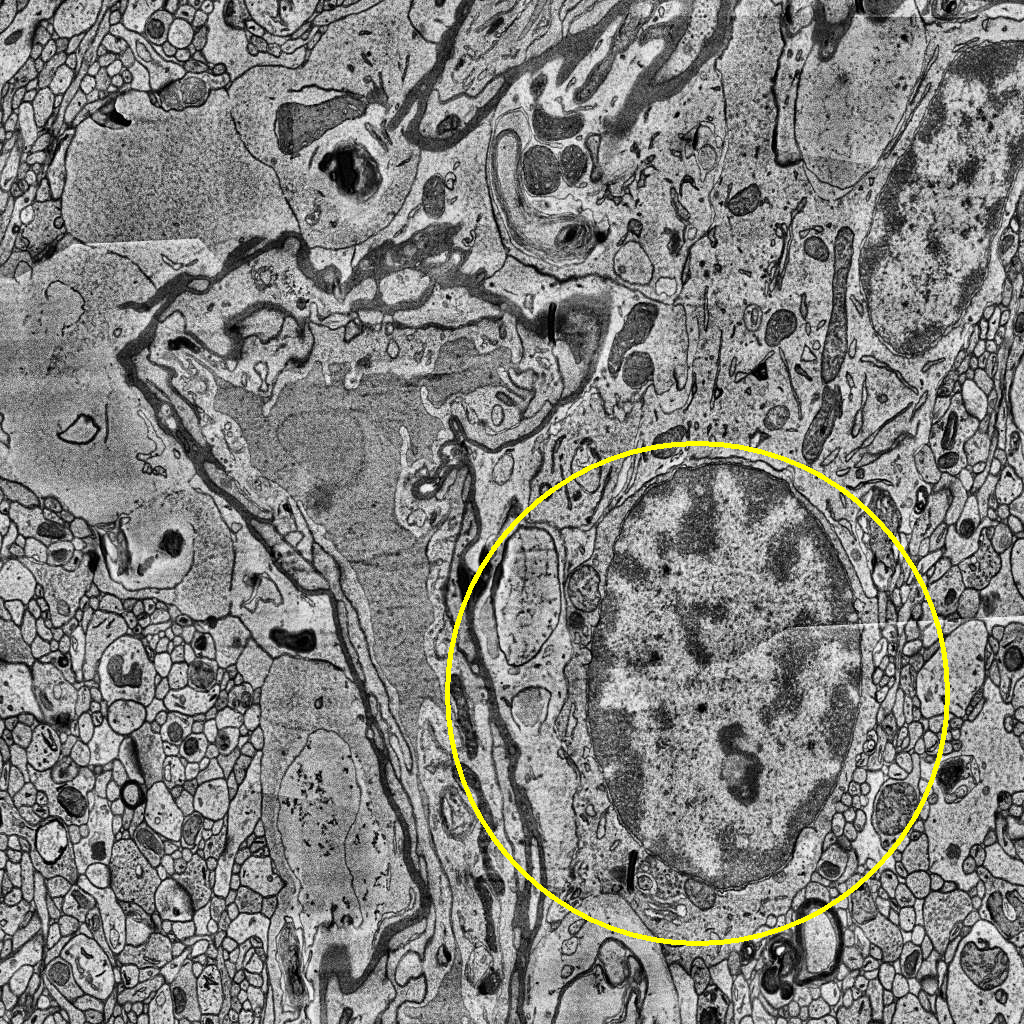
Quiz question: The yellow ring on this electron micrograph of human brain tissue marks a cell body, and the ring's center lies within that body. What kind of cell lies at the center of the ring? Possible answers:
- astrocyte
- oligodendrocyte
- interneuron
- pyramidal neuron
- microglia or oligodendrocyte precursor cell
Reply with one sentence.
The ring's center lies on an oligodendrocyte.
